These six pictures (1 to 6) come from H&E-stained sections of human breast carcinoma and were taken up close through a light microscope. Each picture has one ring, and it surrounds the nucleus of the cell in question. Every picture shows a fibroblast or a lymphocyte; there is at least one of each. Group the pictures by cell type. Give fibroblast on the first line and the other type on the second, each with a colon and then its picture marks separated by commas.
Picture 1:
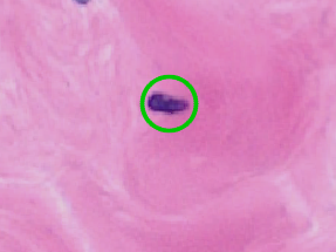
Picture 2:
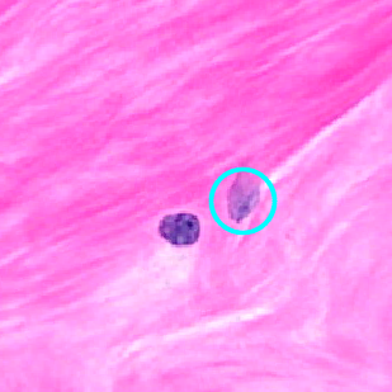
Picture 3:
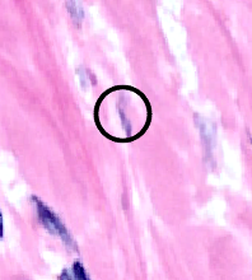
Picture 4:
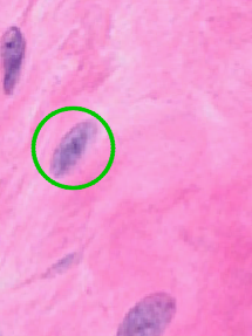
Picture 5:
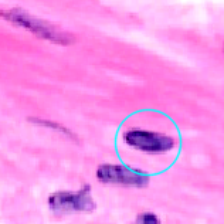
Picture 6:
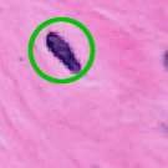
fibroblast: 2, 3, 4
lymphocyte: 1, 5, 6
